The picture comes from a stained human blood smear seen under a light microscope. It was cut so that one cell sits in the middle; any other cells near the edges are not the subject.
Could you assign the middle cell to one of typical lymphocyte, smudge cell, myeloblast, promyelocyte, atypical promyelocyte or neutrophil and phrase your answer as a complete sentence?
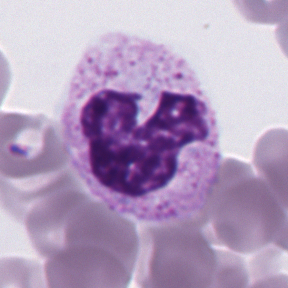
Classified as a neutrophil is the cell in the middle of this crop.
